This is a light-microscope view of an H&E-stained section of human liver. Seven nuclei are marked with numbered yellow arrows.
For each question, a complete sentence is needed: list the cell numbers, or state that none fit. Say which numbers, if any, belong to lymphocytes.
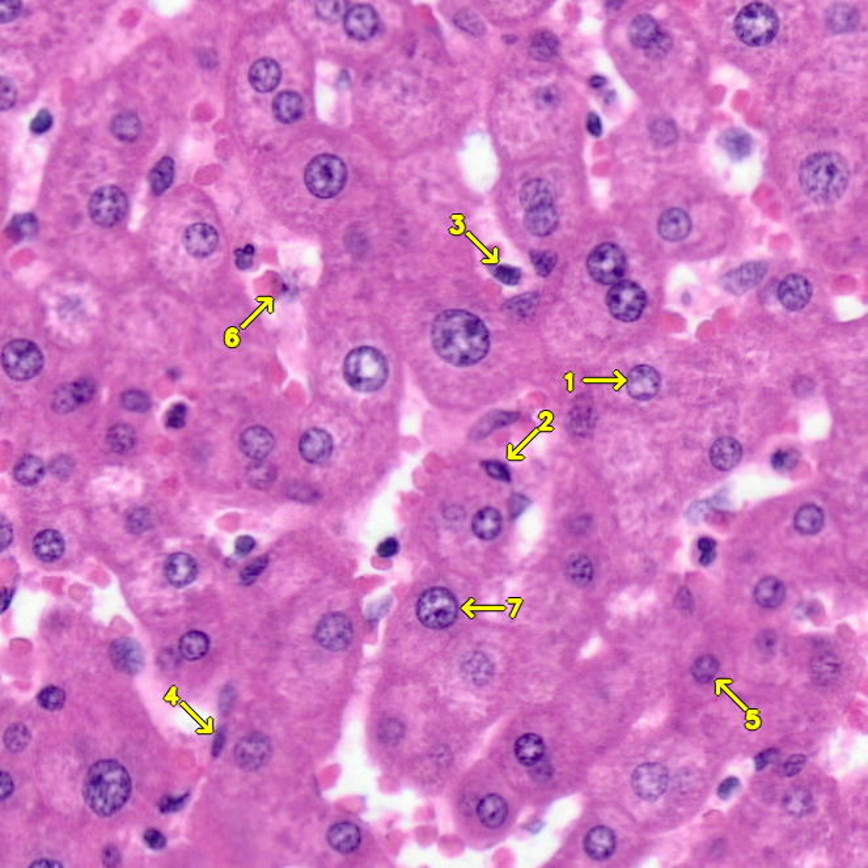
Exactly one numbered cell is a lymphocyte, and that cell is number 3.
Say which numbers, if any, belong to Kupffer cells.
Only nucleus 6 belongs to a Kupffer cell; the other numbered nuclei do not.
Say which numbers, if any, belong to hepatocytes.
On this slide, the cells numbered 1, 5 and 7 are hepatocytes.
